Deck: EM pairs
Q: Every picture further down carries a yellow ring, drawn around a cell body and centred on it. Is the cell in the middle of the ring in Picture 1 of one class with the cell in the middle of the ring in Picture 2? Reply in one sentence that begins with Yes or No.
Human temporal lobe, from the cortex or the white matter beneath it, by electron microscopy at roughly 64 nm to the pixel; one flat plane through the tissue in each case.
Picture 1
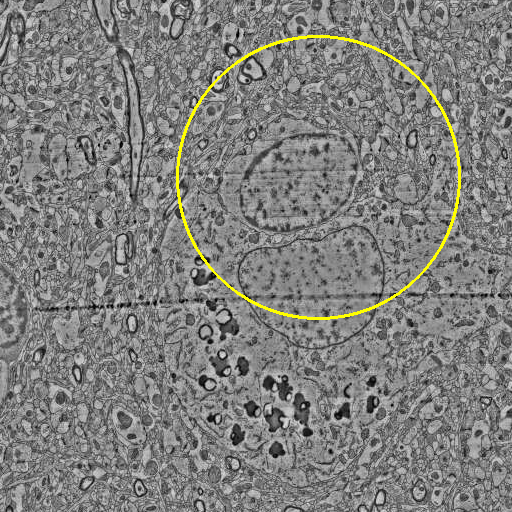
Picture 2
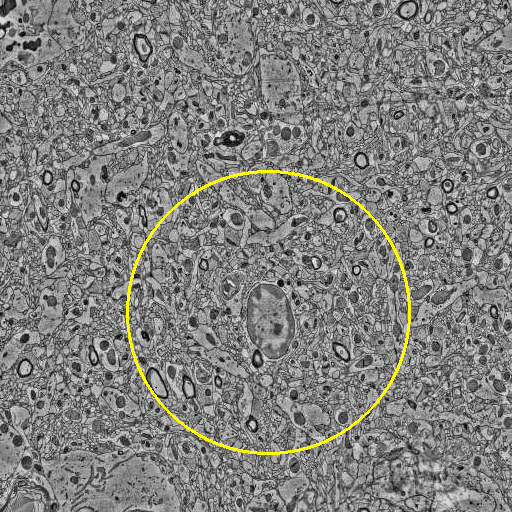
Yes, the cell centred in the ring of Picture 1 and the one in Picture 2 belong to one class.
